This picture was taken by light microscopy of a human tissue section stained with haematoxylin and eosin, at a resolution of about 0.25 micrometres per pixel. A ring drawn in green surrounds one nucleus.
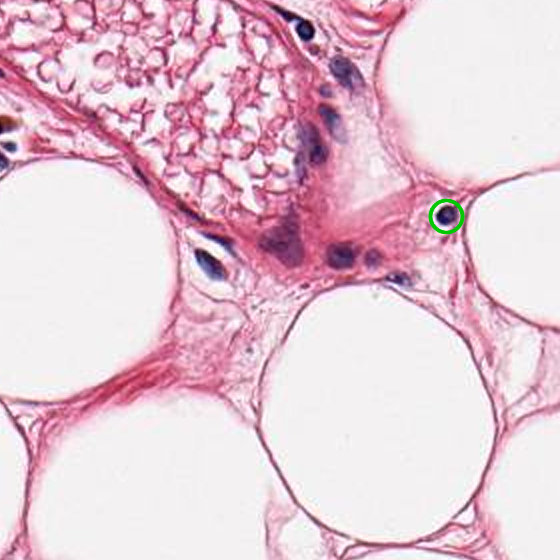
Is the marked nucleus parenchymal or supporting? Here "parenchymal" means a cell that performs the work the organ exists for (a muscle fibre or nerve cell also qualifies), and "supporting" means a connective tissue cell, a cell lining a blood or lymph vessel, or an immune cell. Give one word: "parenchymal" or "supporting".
supporting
